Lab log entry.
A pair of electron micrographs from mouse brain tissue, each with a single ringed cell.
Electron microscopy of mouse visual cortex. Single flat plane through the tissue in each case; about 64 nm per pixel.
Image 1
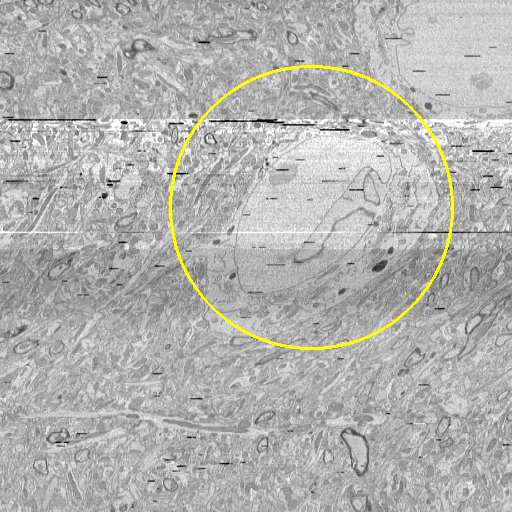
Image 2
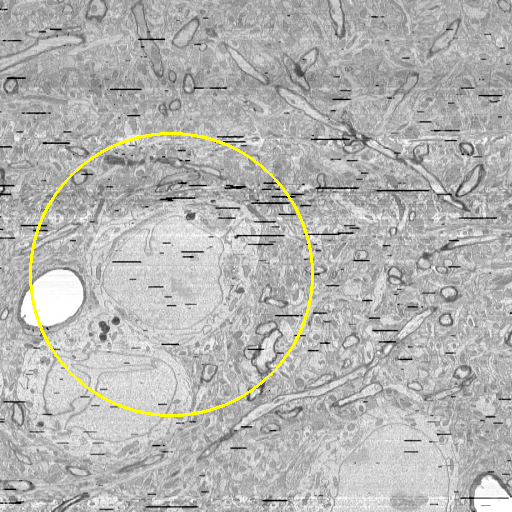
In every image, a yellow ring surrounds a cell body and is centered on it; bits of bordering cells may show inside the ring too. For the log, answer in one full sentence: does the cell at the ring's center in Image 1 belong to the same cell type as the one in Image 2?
Yes, the cells at the ring centers in Image 1 and Image 2 share one type.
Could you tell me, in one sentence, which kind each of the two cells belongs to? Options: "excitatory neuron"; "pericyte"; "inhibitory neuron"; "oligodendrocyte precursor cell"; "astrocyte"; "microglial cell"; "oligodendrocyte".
Each of the two rings surrounds an excitatory neuron.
